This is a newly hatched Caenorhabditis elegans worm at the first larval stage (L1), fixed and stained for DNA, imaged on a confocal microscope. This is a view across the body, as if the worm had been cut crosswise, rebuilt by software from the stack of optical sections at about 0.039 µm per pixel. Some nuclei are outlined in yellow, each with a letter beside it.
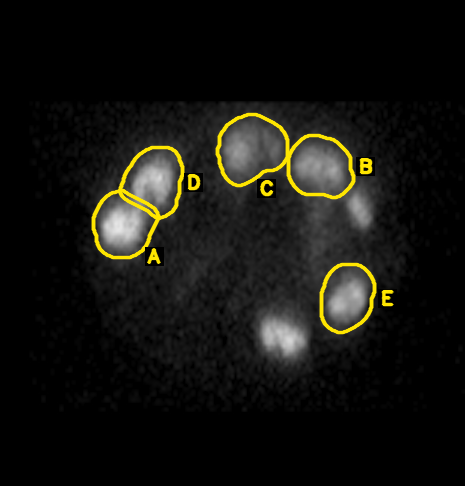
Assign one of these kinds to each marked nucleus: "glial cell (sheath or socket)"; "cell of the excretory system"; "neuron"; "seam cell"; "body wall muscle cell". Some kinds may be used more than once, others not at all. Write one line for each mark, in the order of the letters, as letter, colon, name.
A: neuron
B: glial cell (sheath or socket)
C: seam cell
D: cell of the excretory system
E: body wall muscle cell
